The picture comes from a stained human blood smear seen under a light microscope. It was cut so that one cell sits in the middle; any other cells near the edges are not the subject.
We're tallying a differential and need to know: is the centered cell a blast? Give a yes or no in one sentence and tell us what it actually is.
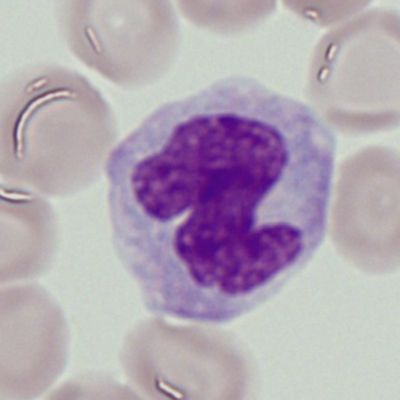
No, the cell in the middle of the crop counts as a monocyte and not as a blast.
